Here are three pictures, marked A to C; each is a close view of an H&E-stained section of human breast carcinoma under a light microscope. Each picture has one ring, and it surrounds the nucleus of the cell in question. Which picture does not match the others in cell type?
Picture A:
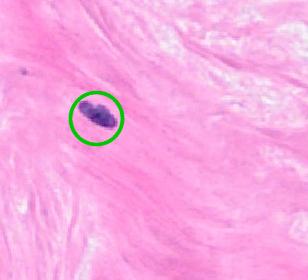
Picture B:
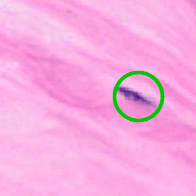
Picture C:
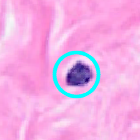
B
